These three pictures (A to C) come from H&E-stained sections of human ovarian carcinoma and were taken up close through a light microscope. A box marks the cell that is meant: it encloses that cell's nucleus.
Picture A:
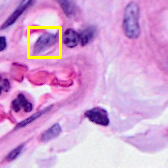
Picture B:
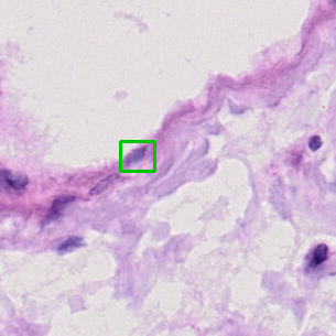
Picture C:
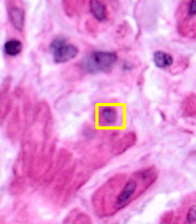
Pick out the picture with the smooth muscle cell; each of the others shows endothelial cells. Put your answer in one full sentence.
Picture C shows the smooth muscle cell.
